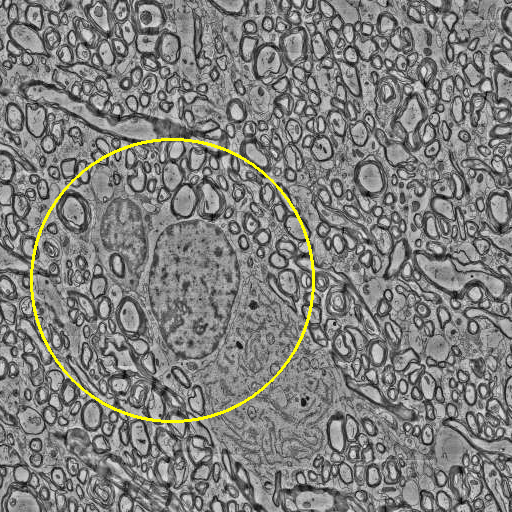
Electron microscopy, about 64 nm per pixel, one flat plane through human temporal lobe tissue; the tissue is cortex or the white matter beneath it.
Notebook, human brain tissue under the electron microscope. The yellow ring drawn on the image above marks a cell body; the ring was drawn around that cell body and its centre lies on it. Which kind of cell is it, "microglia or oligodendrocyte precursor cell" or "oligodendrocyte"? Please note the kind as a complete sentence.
The marked cell body is that of a microglial cell or oligodendrocyte precursor cell.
